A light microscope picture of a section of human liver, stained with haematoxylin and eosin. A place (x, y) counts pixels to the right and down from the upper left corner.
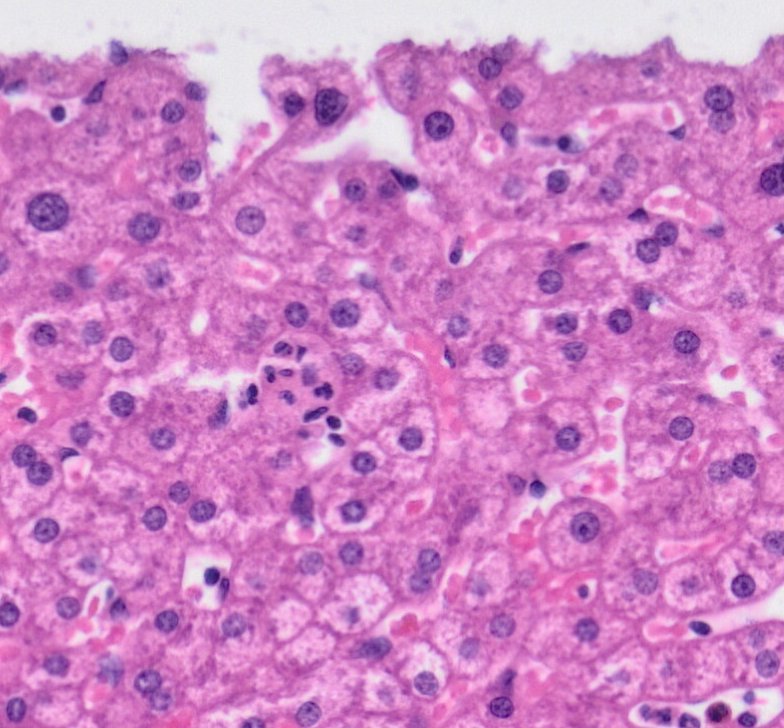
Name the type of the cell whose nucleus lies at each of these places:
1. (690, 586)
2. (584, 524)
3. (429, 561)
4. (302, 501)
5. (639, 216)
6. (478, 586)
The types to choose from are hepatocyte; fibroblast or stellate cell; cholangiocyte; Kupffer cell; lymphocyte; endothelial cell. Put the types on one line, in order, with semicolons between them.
hepatocyte; hepatocyte; hepatocyte; fibroblast or stellate cell; fibroblast or stellate cell; hepatocyte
